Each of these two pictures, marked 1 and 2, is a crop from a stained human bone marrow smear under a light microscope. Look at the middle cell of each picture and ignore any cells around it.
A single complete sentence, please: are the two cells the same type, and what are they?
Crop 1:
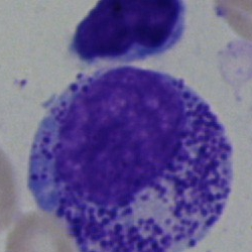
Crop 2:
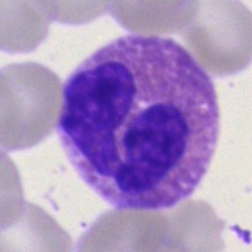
No, crop 1 captures a myelocyte; meanwhile crop 2 captures an eosinophil.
